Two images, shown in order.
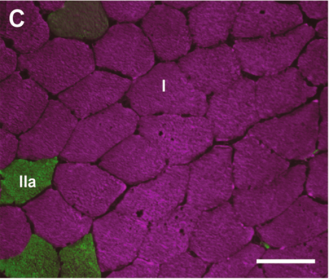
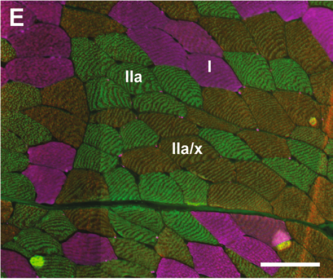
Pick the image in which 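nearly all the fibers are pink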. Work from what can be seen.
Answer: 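The first image. First image: almost every fiber is pink, with only a few green fibers at the lower left.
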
